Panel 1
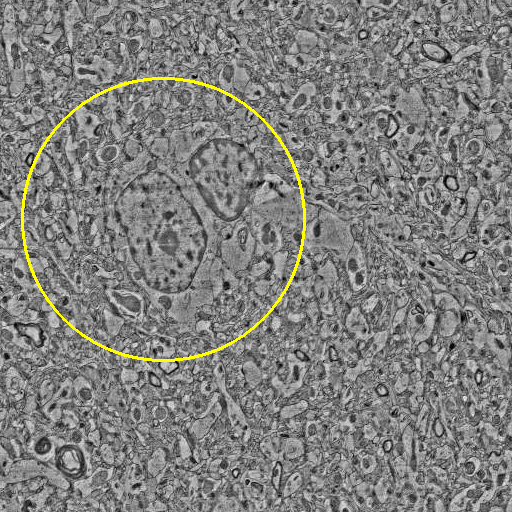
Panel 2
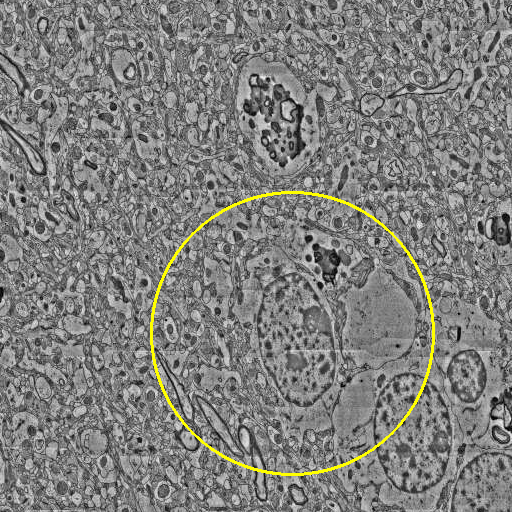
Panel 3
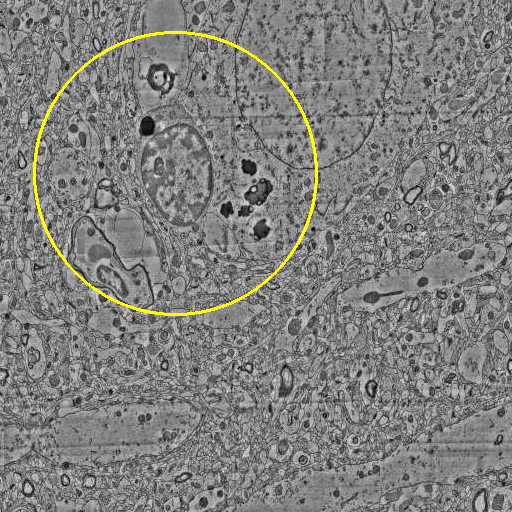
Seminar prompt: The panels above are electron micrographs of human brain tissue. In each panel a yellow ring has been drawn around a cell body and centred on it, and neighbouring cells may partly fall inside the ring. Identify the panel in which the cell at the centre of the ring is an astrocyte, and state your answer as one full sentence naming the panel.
Panel 2 has it at the centre of its ring.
